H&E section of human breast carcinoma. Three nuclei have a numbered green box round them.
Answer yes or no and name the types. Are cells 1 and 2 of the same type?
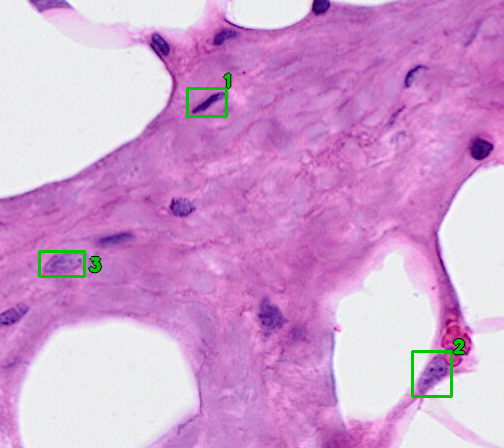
No, cell 1 is a fibroblast, and cell 2, for its part, is an endothelial cell.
